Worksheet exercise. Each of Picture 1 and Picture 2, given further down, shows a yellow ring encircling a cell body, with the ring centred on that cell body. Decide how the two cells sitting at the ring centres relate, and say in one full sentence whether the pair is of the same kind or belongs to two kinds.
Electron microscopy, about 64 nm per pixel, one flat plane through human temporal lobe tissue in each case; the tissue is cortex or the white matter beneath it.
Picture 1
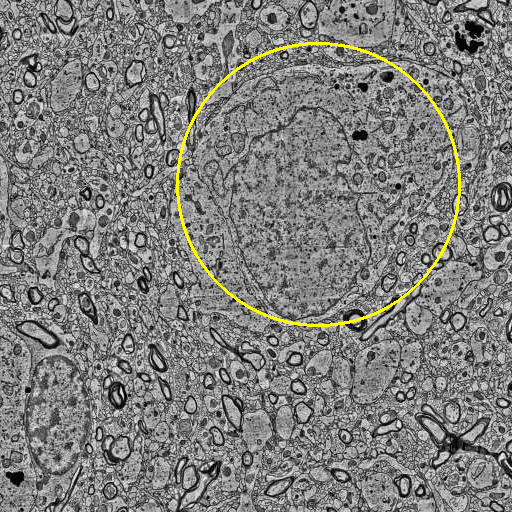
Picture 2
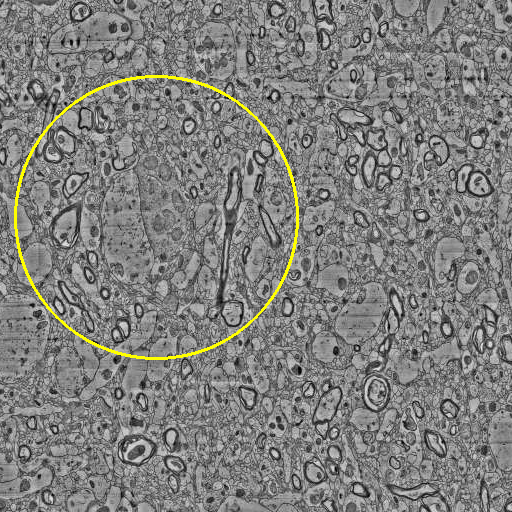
The cells at the ring centres in Picture 1 and Picture 2 belong to two kinds.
